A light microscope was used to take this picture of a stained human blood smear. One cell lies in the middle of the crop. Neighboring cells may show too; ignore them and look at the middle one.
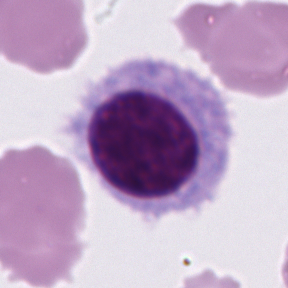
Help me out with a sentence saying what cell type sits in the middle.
For this crop, the cell in the middle is a hairy cell.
